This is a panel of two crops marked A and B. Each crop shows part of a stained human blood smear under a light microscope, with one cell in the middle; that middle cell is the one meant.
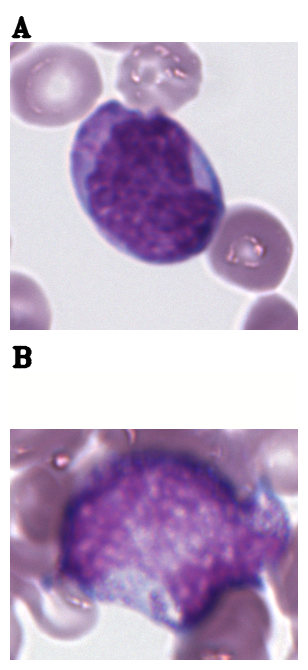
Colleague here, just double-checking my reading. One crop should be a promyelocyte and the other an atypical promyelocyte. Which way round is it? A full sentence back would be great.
Crop A is occupied by an atypical promyelocyte, and crop B is occupied by a promyelocyte.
